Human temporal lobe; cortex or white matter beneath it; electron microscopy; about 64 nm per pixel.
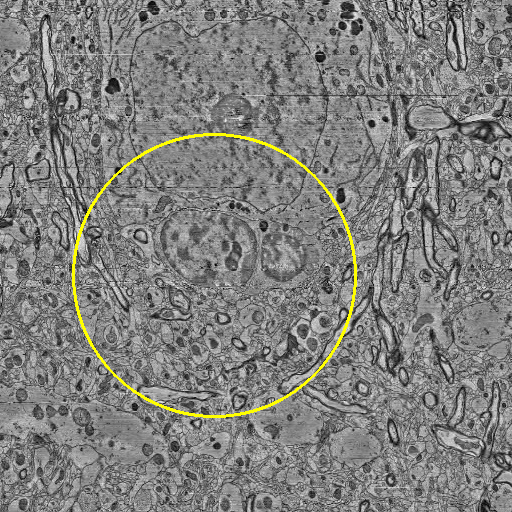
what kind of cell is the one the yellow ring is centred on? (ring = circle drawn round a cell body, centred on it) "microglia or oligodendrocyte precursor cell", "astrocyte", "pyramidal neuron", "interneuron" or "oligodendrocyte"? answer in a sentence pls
The ring is drawn around an oligodendrocyte.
